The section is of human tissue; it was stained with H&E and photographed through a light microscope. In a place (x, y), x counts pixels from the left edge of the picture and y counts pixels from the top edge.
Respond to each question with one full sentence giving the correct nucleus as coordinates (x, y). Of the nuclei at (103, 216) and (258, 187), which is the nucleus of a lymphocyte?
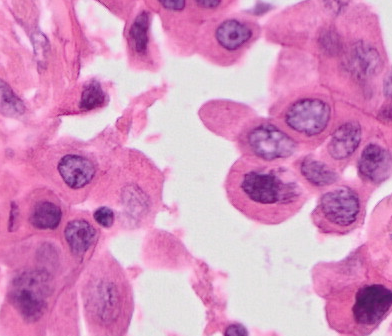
Identified as belonging to a lymphocyte is the nucleus at (103, 216).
